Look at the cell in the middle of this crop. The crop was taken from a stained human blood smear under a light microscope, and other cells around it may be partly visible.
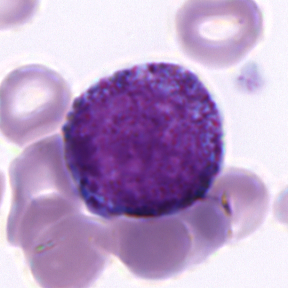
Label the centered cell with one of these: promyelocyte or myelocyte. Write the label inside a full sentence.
The cell marked by its central position in the crop is a promyelocyte.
